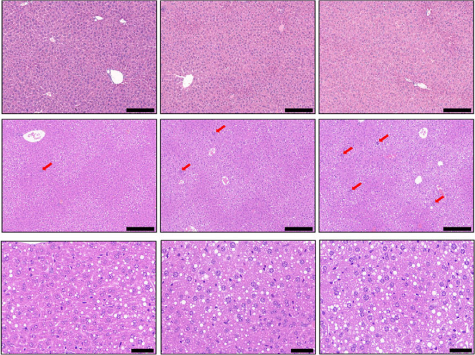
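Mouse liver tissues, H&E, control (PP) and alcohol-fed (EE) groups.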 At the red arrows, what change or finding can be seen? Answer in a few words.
Inflammatory cell infiltration.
